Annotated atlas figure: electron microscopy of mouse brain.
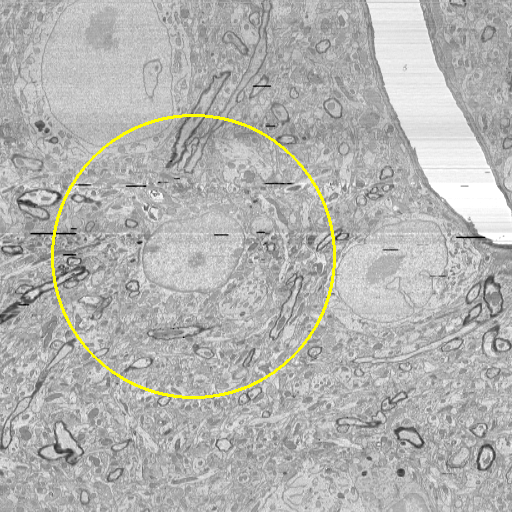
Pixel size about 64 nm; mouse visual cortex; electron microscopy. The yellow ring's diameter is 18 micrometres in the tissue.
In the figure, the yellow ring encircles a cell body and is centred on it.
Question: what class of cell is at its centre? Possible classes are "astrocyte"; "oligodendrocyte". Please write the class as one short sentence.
The yellow ring is drawn around an astrocyte.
